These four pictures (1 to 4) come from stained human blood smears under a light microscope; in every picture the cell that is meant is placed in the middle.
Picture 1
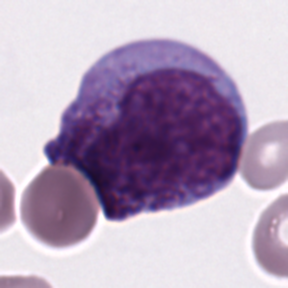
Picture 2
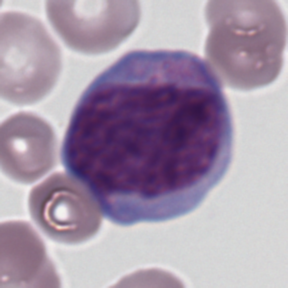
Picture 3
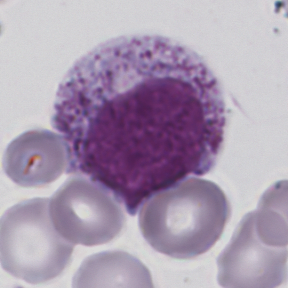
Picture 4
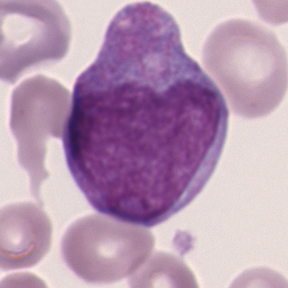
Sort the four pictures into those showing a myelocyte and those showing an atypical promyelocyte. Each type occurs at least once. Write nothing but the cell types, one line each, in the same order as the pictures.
atypical promyelocyte
atypical promyelocyte
myelocyte
atypical promyelocyte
